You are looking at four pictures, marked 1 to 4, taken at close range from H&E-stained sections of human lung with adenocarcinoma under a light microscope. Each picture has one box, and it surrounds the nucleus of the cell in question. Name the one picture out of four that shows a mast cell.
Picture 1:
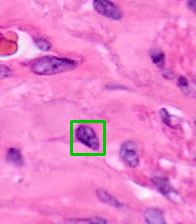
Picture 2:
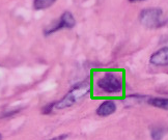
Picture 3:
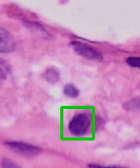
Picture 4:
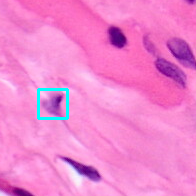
1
